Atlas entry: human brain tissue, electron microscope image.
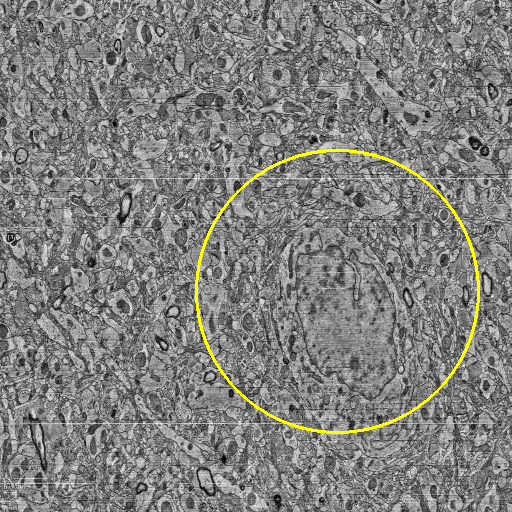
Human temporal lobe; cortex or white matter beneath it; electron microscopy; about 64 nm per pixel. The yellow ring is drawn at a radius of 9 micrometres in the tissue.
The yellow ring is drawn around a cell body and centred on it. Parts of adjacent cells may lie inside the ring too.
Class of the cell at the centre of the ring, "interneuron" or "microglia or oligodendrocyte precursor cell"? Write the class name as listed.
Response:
interneuron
